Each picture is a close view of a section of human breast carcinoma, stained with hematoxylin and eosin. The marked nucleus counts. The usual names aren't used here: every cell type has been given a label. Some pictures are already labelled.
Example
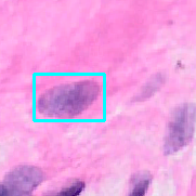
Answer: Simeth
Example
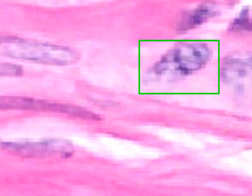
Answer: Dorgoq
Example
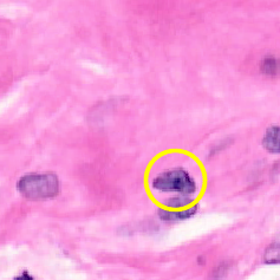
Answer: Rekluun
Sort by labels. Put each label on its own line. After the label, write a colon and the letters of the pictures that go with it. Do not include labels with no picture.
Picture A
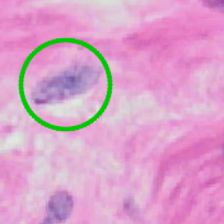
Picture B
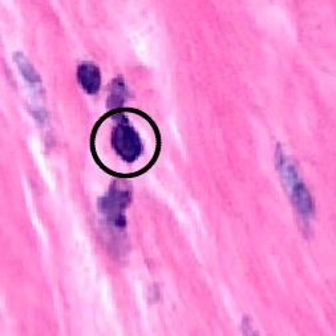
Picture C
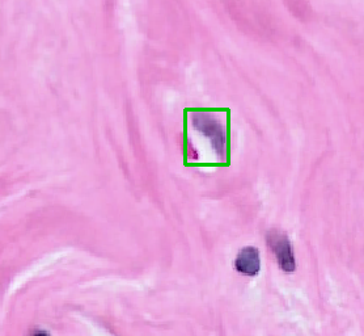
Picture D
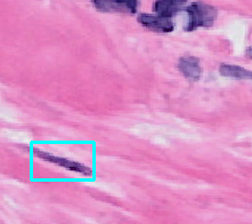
Simeth: A, D
Dorgoq: C
Rekluun: B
